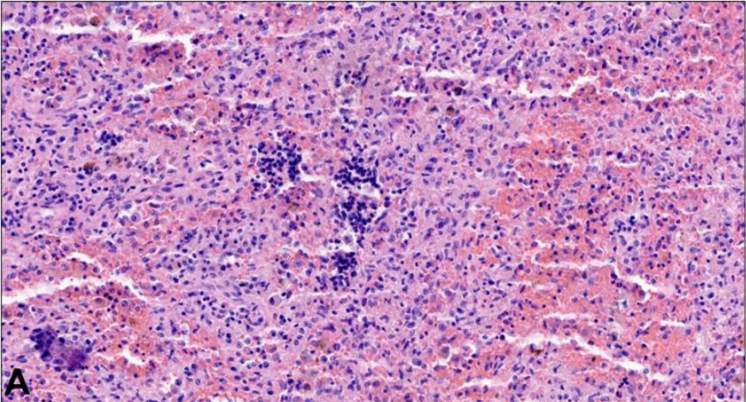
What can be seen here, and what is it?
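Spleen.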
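Splenic tissue congested with red blood cells shows scattered tight clusters of small cells with dark round nuclei, foci of blood-forming cells. Between them lie many cells with paler cytoplasm, some holding brownish pigment.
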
